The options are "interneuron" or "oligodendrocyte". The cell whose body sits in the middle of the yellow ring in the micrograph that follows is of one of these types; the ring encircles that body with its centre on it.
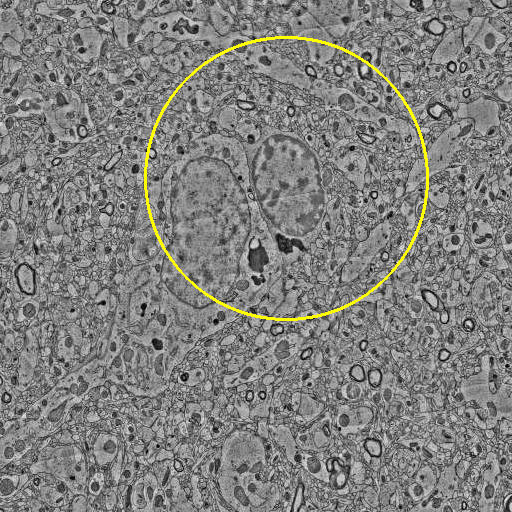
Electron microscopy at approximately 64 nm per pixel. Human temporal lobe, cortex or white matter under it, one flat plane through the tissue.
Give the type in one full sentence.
Going by the micrograph, the cell centred in the yellow ring is an oligodendrocyte.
